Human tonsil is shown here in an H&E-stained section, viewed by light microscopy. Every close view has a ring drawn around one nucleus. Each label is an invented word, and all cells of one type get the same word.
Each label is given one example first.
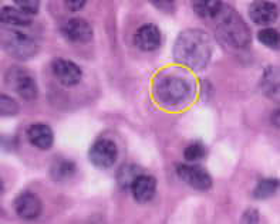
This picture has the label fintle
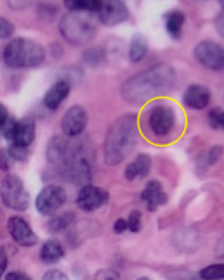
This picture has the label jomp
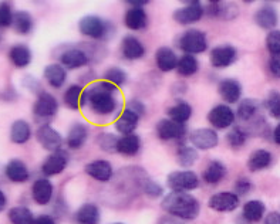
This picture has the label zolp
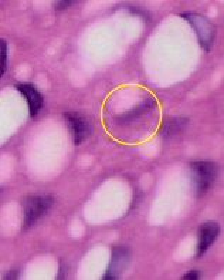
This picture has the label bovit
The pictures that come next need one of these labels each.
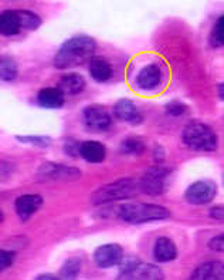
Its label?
fintle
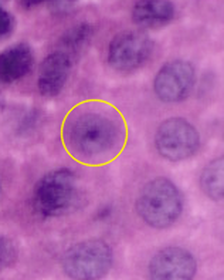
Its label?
bovit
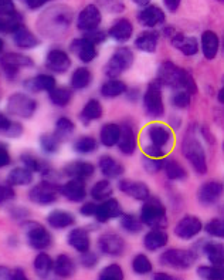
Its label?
zolp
